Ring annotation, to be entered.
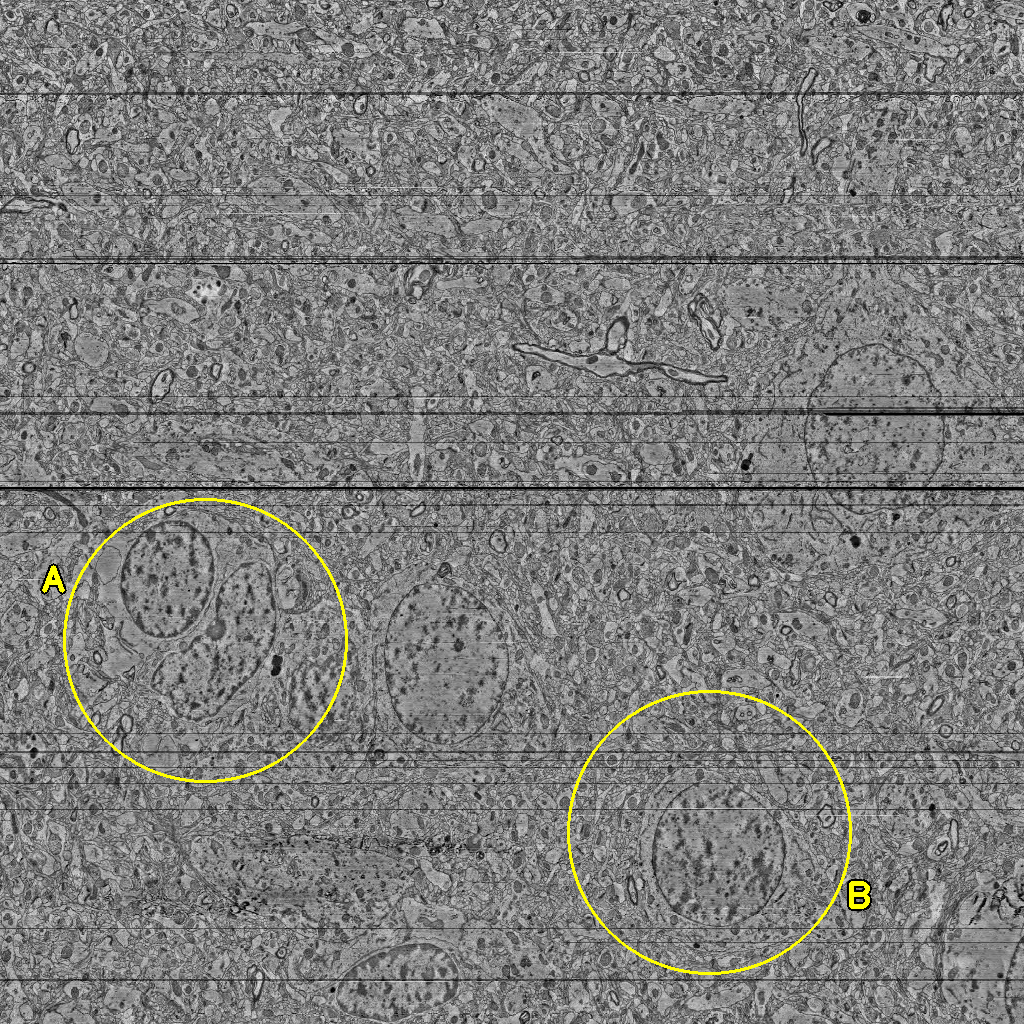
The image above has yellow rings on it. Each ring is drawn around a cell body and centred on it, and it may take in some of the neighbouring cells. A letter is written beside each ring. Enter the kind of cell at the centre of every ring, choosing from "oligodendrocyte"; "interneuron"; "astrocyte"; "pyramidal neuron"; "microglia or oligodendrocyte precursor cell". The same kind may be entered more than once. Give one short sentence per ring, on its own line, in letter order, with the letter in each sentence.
The ring marked A is centred on a microglial cell or oligodendrocyte precursor cell.
The ring marked B is centred on a pyramidal neuron.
